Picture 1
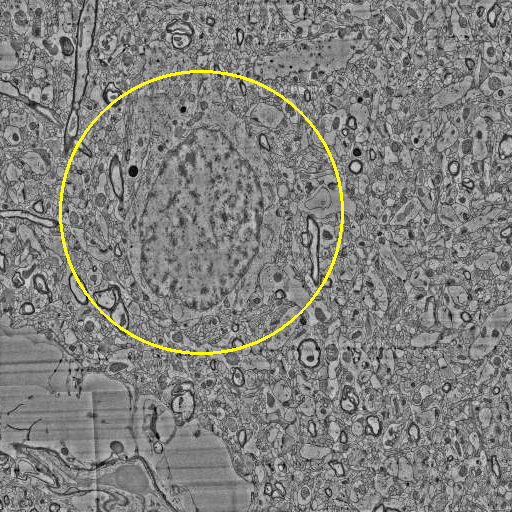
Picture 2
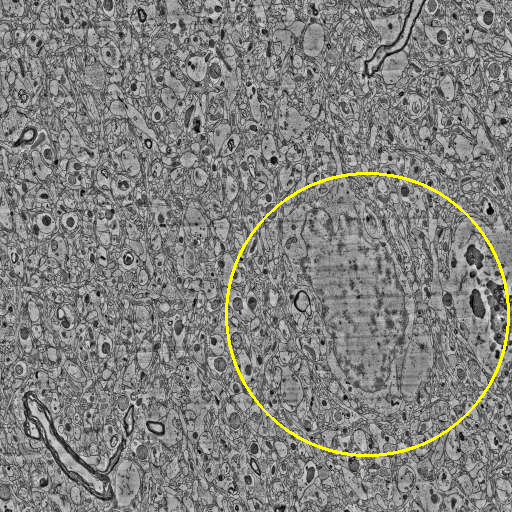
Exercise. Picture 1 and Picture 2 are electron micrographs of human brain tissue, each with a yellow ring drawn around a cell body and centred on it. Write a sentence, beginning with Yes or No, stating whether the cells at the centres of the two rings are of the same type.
Yes, the cells at the centres of both rings are of the same type.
